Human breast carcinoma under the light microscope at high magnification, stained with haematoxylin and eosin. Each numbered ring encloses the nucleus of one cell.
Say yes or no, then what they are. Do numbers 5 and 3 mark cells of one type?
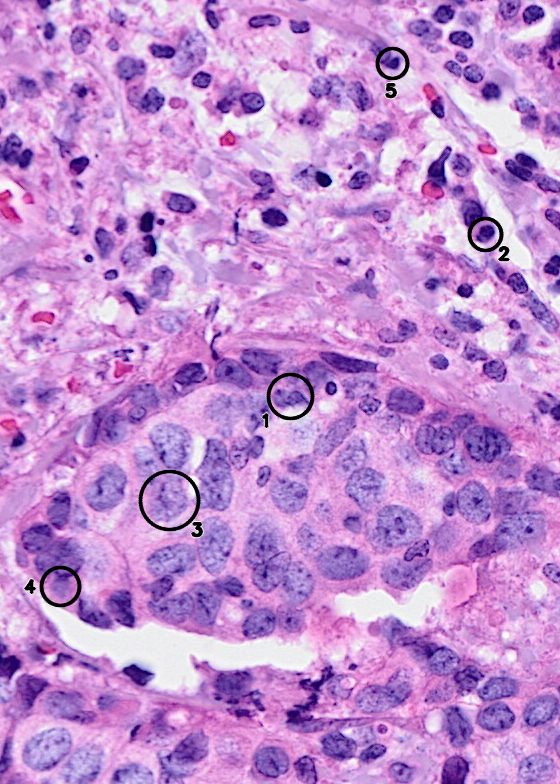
No, sorry, cell 5 is a lymphocyte and cell 3 is a carcinoma cell.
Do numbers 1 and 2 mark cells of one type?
No, cell 1 is a carcinoma cell, but cell 2 is a lymphocyte.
